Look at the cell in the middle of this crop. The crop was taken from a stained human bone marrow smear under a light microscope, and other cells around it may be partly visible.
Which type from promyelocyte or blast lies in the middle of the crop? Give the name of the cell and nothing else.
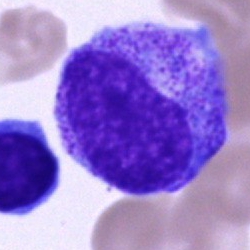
promyelocyte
